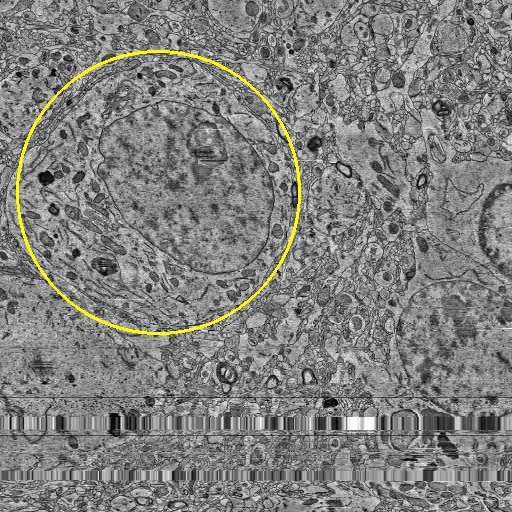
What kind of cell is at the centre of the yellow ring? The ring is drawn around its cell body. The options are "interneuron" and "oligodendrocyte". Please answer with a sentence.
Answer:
The yellow ring marks the cell body of an interneuron.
